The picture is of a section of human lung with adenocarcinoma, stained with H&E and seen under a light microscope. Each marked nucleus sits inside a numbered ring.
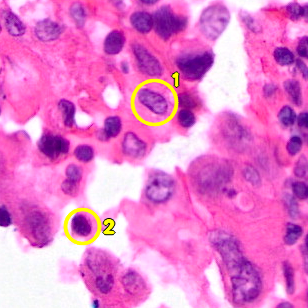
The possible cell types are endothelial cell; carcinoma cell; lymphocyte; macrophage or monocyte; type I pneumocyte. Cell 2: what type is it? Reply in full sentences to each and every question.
The nucleus labelled 2 belongs to a lymphocyte.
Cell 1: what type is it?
Here the cell numbered 1 is a macrophage or monocyte.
